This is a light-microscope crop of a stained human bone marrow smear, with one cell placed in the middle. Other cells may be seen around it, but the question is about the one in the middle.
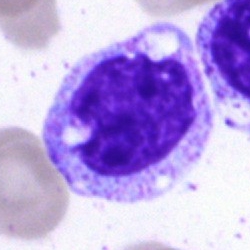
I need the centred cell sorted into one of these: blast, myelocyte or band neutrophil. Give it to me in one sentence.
Occupying the centre of the crop is a myelocyte.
